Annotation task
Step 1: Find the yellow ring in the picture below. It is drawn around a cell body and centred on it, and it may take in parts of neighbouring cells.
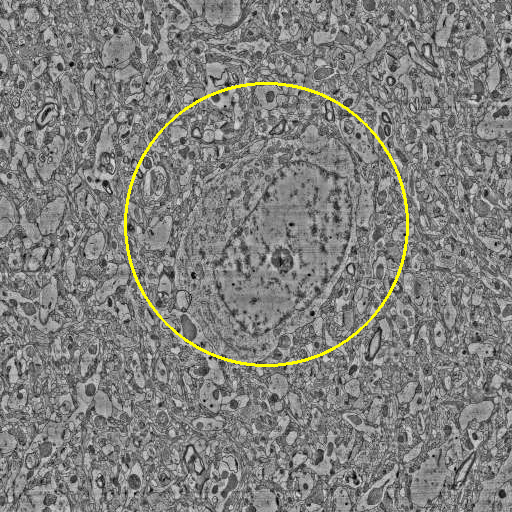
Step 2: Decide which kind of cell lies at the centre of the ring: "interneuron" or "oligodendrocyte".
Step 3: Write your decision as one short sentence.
The kind of cell at the ring's centre is an interneuron.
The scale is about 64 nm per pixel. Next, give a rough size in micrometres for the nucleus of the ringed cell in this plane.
In this plane the nucleus is roughly 12 by 8 micrometres, clearly longer than it is wide.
